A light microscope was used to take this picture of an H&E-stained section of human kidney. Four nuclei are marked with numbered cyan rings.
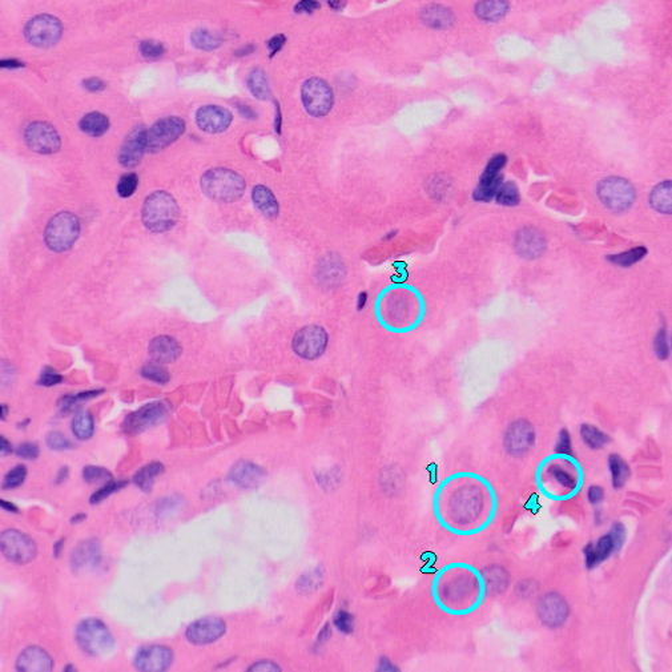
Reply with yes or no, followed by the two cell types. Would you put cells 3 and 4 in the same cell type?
No, cell 3 is a proximal tubule cell, and in contrast cell 4 is an endothelial cell.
